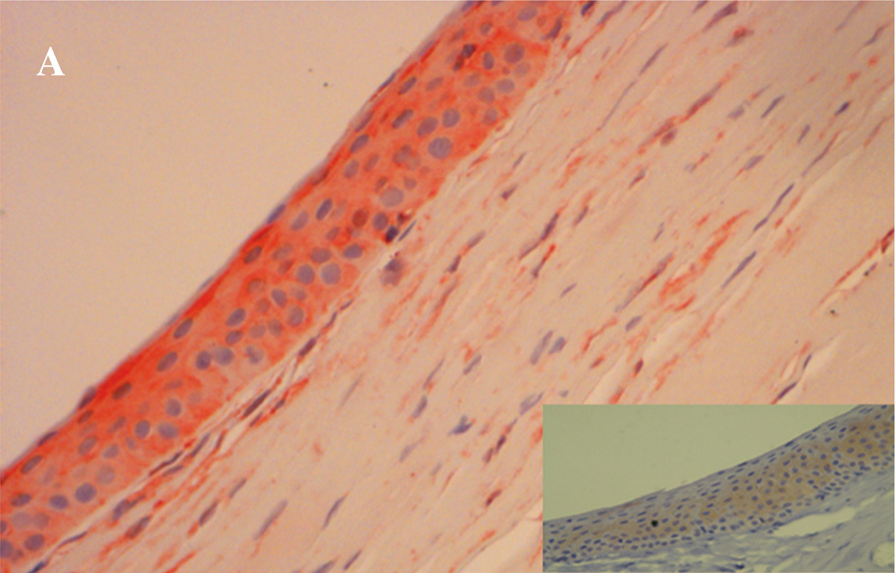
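Here the cornea shows a stratified epithelium several cells thick lying on a pale, fibrous stroma. The epithelial cells have oval, blue-grey nuclei and cytoplasm stained red across all layers, with the surface rows most intensely coloured. The stroma below contains widely spaced, elongated spindle nuclei of stromal cells aligned with the collagen lamellae, and faint red streaks lie along some of them. In the small inset at lower right, a similar stratified epithelium appears only faintly tinted, without the strong red colour, over a bluish stroma.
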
